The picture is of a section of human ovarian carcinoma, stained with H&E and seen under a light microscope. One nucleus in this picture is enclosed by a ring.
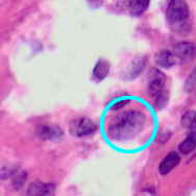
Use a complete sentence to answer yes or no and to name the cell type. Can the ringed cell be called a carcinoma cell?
Yes, the claim that the ringed cell is a carcinoma cell holds true.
